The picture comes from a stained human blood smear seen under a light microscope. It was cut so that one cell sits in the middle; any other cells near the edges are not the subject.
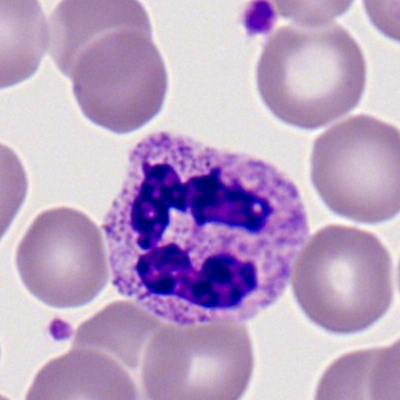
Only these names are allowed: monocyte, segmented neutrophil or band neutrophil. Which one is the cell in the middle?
segmented neutrophil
